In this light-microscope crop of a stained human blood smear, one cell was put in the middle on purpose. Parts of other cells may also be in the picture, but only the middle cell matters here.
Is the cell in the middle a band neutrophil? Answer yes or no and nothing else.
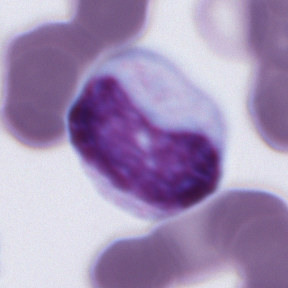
yes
